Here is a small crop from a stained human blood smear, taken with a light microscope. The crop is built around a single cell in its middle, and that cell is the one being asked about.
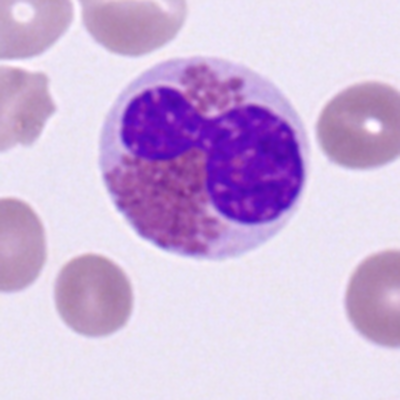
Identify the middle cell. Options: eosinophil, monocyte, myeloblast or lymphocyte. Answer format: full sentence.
The central cell in this smear crop is an eosinophil.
